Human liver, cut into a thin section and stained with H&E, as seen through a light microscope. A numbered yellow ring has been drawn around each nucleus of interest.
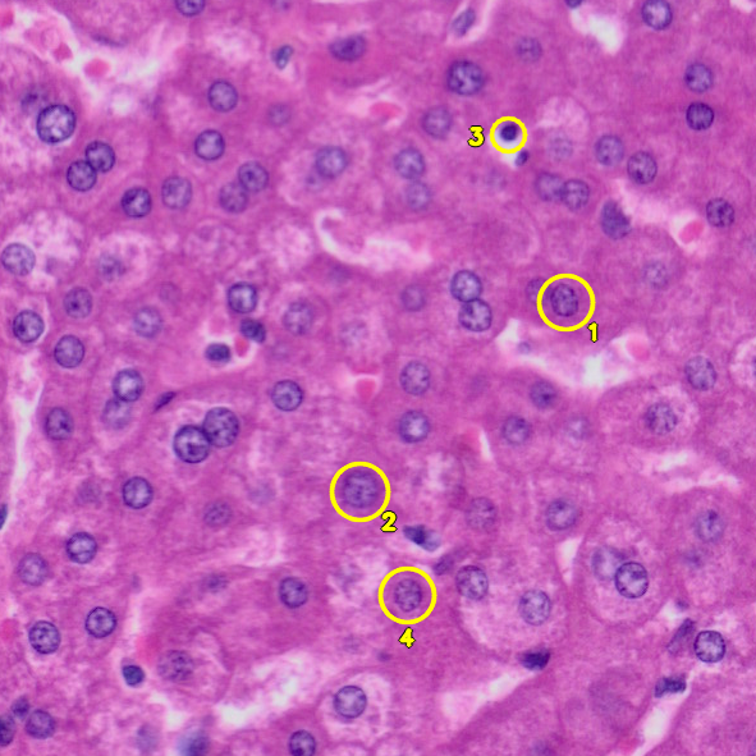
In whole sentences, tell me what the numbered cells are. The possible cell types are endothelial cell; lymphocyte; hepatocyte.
Cells 1, 2 and 4 are hepatocytes. Cell 3 is a lymphocyte.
